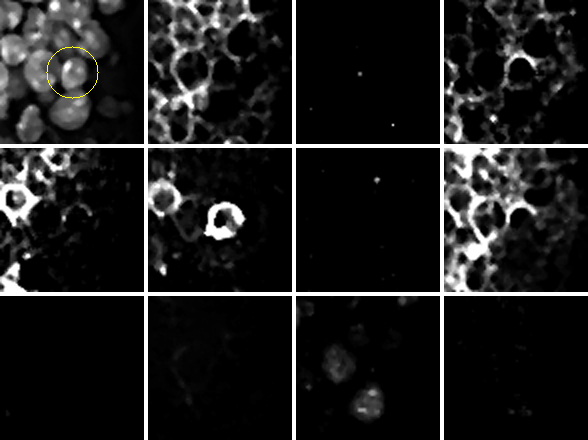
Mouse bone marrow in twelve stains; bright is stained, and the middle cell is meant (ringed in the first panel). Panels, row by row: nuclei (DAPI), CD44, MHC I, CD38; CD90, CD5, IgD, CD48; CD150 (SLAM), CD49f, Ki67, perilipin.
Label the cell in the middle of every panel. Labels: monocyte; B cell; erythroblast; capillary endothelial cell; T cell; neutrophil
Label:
T cell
